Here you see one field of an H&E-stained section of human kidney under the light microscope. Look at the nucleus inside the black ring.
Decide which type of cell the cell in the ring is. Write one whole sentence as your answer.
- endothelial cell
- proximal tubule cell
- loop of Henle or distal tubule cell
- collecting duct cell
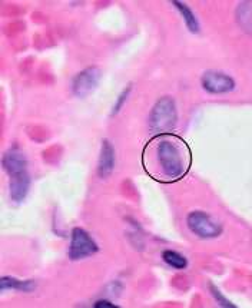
In terms of identity, the cell in the ring is a collecting duct cell.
